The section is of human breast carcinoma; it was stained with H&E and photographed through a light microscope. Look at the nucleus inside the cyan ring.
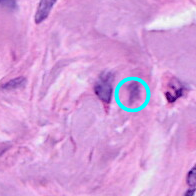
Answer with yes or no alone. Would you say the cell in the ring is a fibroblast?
yes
